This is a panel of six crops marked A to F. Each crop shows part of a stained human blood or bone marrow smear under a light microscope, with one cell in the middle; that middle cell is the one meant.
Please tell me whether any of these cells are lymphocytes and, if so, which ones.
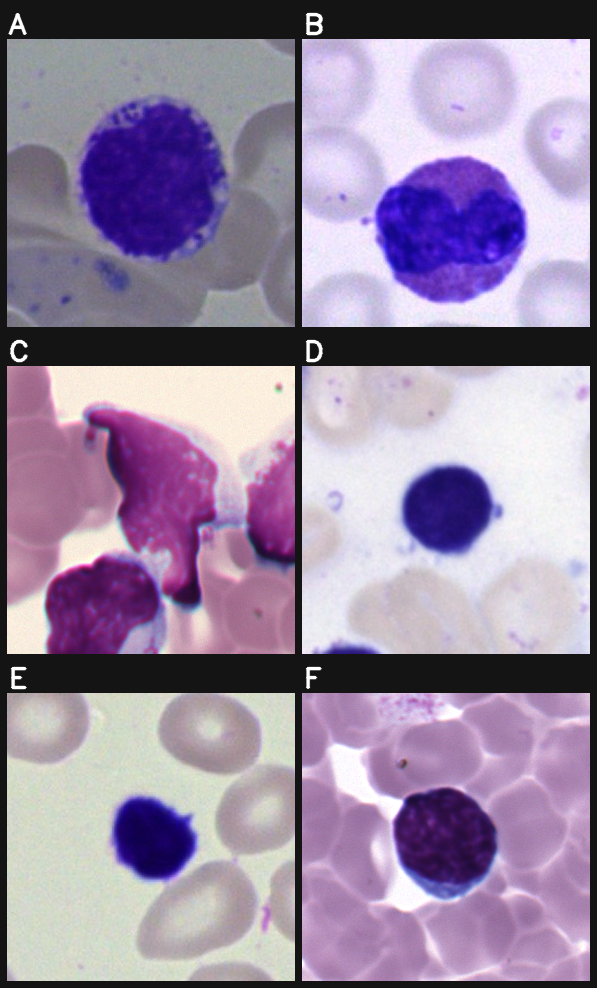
C, D, E, F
